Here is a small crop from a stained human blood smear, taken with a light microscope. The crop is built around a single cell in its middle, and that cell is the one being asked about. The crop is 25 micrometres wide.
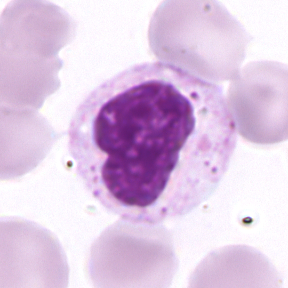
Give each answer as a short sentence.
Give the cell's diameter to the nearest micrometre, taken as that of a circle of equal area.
It measures about 14 micrometres across.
